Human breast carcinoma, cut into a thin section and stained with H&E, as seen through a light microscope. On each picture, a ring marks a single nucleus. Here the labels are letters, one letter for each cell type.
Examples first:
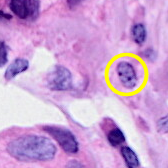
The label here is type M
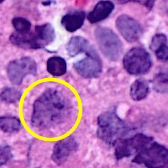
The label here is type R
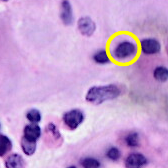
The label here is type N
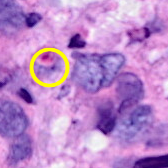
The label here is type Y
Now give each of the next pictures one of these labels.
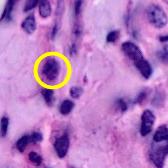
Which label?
type M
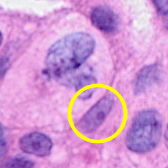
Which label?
type R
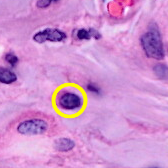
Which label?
type M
